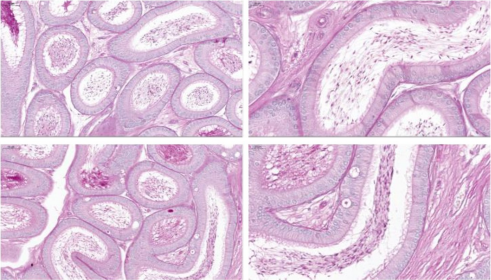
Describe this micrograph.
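These are sections of epididymis, where a single long coiled duct is cut many times, so its profiles lie packed side by side. Each profile is lined by a tall columnar epithelium with nuclei in a row near the base and pink cytoplasm toward the lumen. Thin strands of connective tissue separate the duct profiles.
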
